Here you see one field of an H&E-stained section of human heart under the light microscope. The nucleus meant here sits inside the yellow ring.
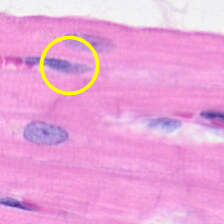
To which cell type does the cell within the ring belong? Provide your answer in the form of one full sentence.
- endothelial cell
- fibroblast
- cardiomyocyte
In the context of this tissue, the cell within the ring is an endothelial cell.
